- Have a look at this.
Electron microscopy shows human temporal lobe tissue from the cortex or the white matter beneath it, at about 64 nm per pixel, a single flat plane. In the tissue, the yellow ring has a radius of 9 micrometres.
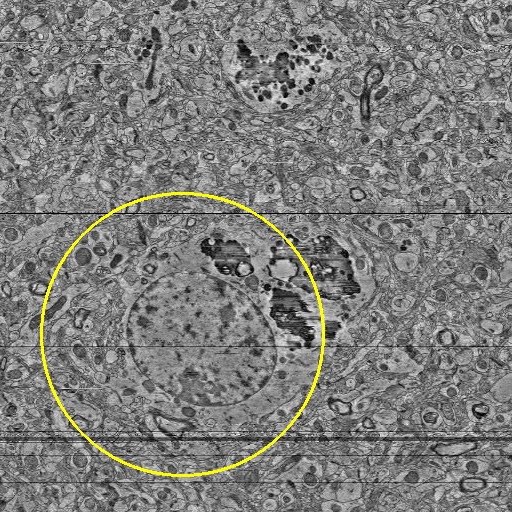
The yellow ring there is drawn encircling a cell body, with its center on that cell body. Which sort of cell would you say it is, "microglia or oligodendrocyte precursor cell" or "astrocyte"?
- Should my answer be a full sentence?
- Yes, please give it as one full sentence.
For this picture, an astrocyte is the cell where the yellow ring has its center.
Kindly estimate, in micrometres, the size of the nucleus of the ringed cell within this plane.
In this plane, roughly 10 by 8 micrometres.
